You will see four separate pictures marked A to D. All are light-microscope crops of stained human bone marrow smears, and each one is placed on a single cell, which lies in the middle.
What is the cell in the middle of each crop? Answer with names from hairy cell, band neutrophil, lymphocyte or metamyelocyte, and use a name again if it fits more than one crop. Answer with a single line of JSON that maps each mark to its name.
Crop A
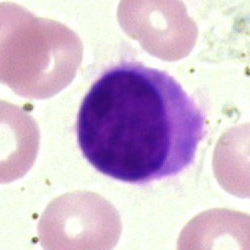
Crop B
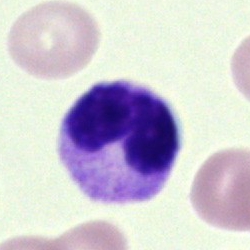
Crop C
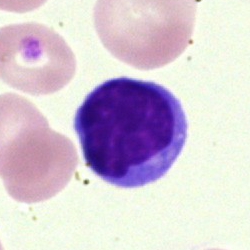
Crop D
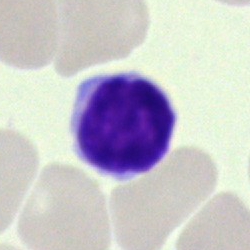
{"A": "hairy cell", "B": "band neutrophil", "C": "lymphocyte", "D": "lymphocyte"}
